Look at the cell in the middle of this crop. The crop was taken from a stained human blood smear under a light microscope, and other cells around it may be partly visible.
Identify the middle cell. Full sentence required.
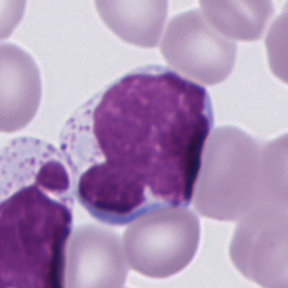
The cell in the middle of this crop is a large granular lymphocyte.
